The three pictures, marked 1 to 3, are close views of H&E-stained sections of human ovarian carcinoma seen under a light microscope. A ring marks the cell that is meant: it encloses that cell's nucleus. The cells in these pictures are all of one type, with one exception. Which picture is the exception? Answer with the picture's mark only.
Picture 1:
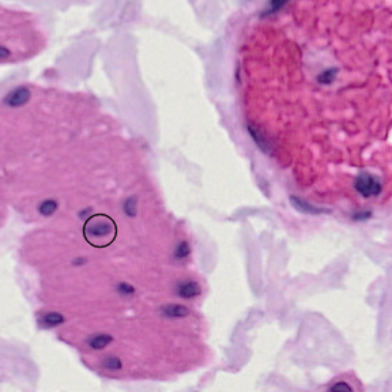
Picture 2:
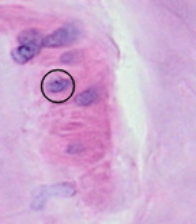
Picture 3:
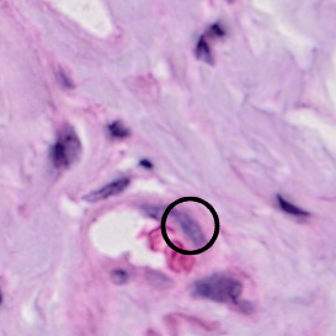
3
